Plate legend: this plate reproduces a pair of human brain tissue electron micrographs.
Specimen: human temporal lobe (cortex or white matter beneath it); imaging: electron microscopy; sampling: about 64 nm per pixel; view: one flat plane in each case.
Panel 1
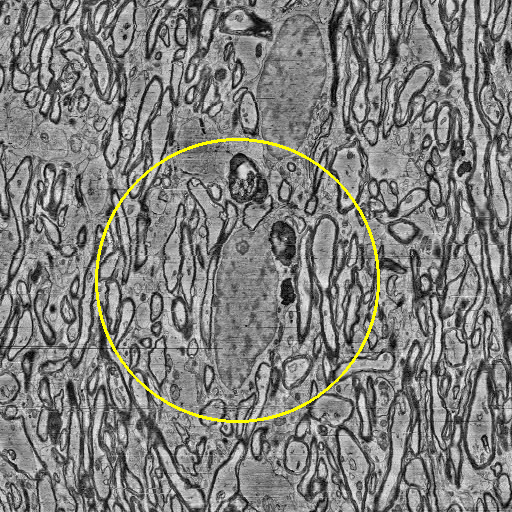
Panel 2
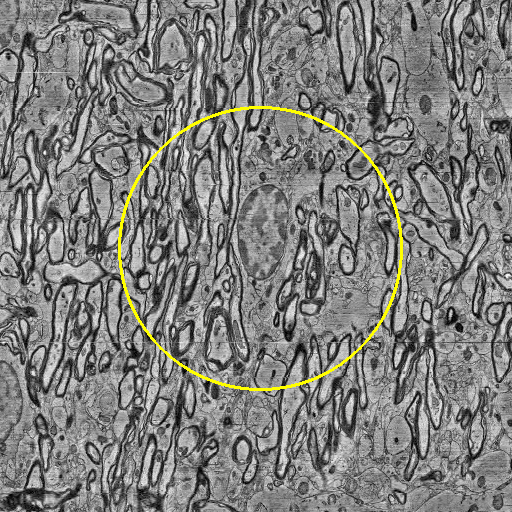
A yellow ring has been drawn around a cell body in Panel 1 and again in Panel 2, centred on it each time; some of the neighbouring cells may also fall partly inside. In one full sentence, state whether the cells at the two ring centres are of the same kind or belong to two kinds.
The ring-centred cells of Panel 1 and Panel 2 belong to two kinds.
